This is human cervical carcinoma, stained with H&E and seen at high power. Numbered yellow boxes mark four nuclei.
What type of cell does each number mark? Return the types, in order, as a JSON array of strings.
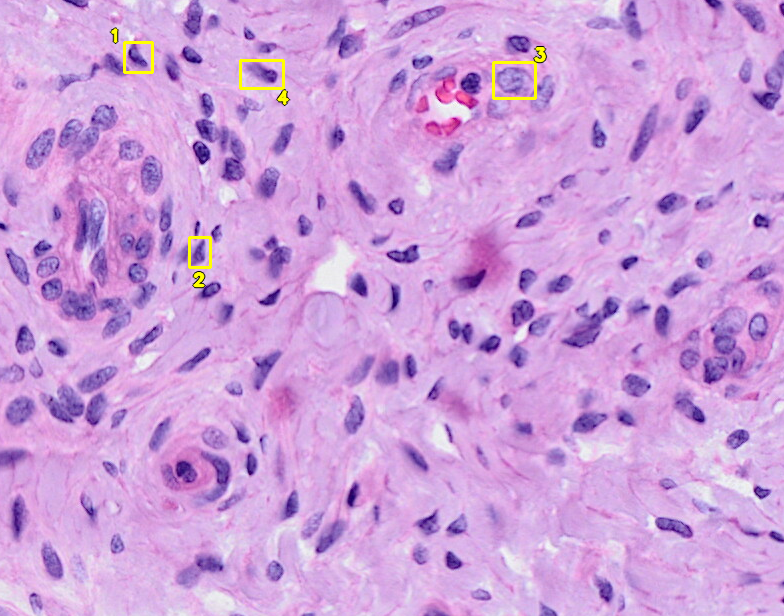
["fibroblast", "fibroblast", "endothelial cell", "fibroblast"]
